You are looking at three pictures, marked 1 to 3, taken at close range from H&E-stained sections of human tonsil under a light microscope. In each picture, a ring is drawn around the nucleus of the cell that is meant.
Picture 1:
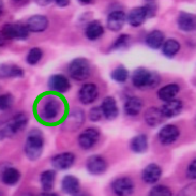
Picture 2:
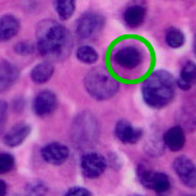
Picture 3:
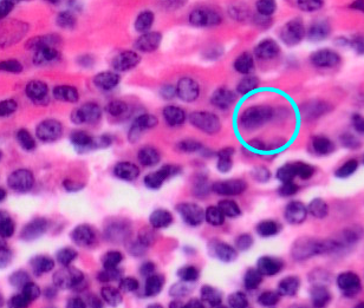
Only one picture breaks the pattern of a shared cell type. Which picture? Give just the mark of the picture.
3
